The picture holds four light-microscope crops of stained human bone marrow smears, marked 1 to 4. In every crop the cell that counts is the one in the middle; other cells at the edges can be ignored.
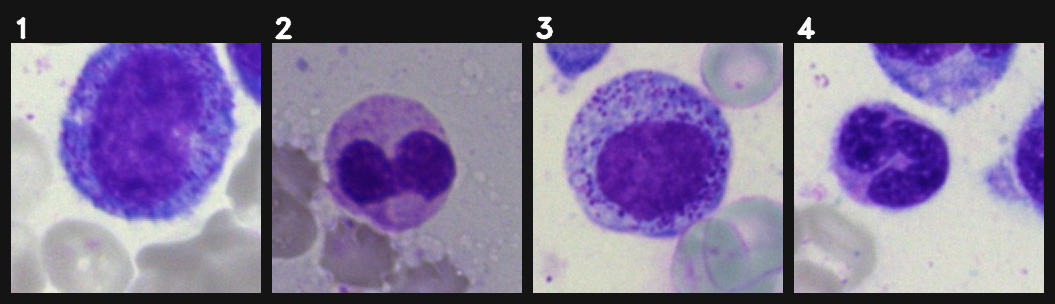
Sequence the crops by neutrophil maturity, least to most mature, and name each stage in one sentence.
The proper maturity order, starting from the least mature, is crop 1 (a promyelocyte), crop 3 (a myelocyte), crop 4 (a band neutrophil) and crop 2 (a segmented neutrophil).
